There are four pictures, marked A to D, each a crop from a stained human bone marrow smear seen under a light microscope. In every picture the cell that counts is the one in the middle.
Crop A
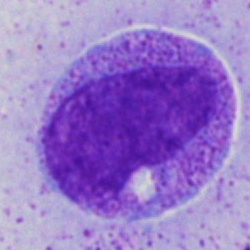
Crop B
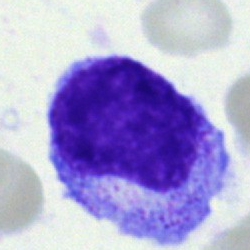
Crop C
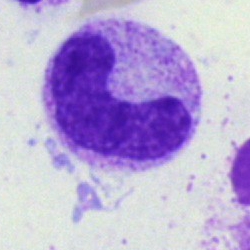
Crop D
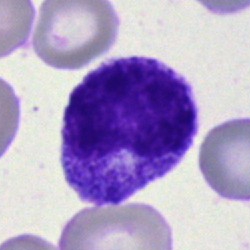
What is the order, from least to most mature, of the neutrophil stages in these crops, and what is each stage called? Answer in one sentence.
Sorted by stage of maturation, earliest first, the sequence is crop A (a promyelocyte), crop B (a myelocyte), crop D (a metamyelocyte) and crop C (a band neutrophil).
